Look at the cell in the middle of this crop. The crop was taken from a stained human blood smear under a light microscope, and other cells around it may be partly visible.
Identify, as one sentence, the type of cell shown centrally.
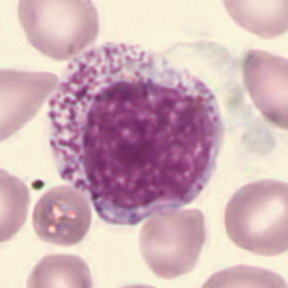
In the central position of this crop, the cell is a myelocyte.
